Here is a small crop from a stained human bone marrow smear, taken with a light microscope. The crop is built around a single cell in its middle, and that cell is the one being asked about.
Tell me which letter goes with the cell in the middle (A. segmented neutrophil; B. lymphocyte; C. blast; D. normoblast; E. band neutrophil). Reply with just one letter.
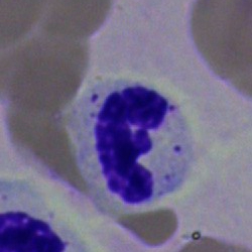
A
